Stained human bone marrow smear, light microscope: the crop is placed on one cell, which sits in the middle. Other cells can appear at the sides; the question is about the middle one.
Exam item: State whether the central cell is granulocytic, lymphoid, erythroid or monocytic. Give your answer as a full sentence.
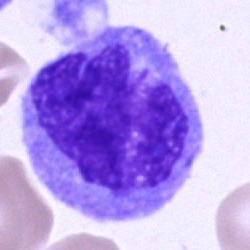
Within the monocytic lineage lies the cell at the center of the crop.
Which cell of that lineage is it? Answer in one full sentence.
In the middle of this smear crop is a monocyte.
